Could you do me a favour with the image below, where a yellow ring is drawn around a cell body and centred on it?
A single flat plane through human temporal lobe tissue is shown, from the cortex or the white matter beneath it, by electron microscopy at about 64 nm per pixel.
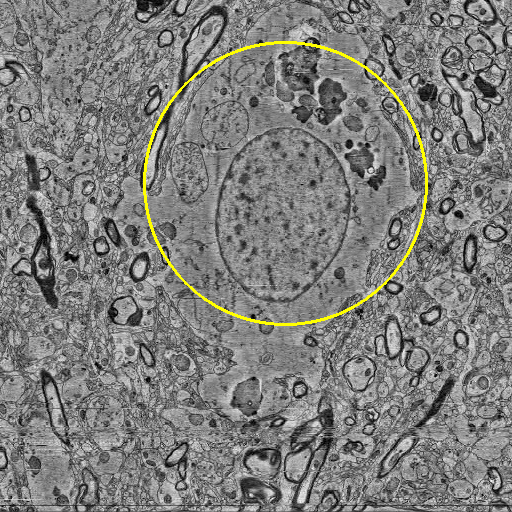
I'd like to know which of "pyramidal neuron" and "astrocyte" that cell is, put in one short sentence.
The cell at the ring's centre is an astrocyte.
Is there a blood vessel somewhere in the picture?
Yes.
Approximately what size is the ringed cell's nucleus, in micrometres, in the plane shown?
Roughly 11 by 8 micrometres in this plane, for the nucleus of the ringed cell.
